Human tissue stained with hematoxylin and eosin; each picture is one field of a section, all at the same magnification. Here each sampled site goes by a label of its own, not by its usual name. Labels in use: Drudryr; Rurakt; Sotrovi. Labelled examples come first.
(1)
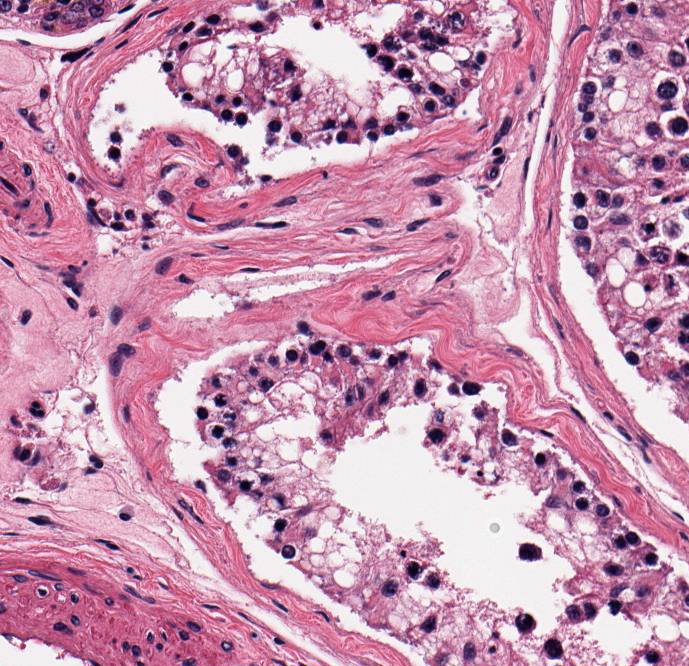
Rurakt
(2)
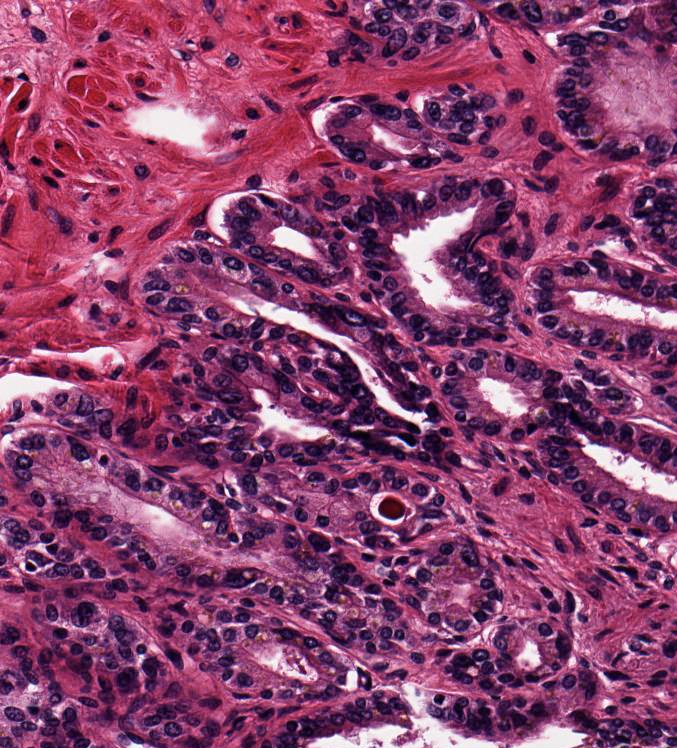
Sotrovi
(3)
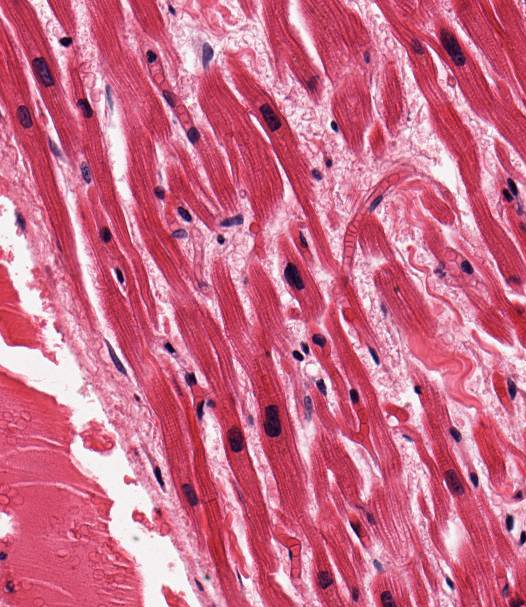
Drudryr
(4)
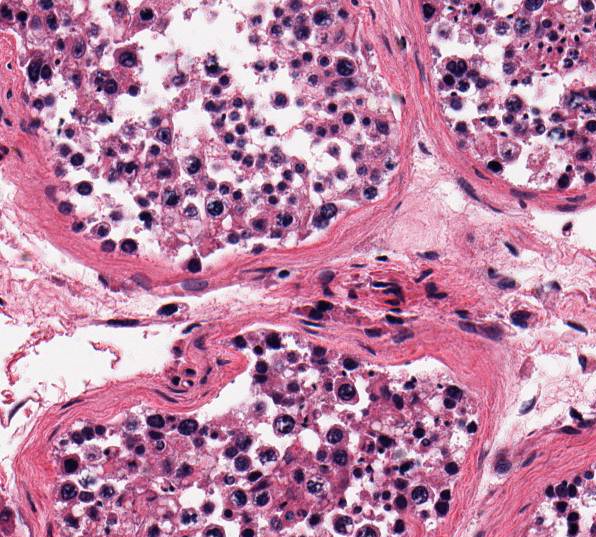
Rurakt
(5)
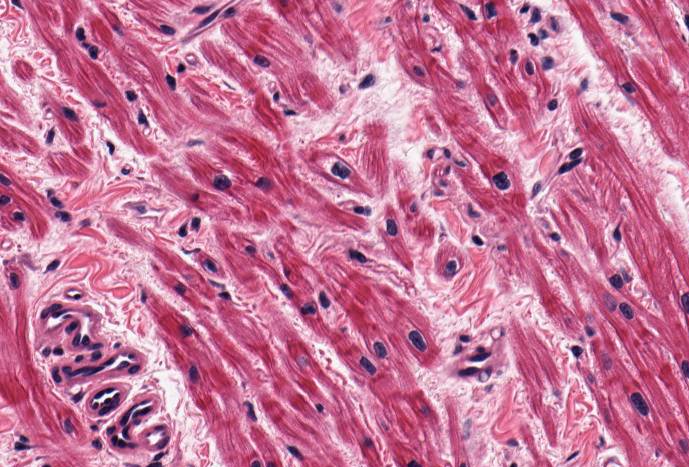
Drudryr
